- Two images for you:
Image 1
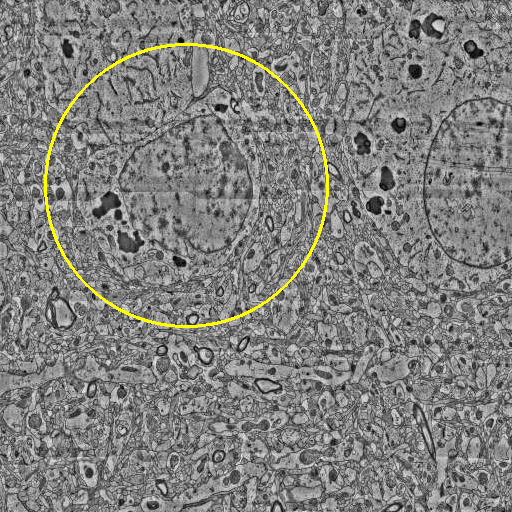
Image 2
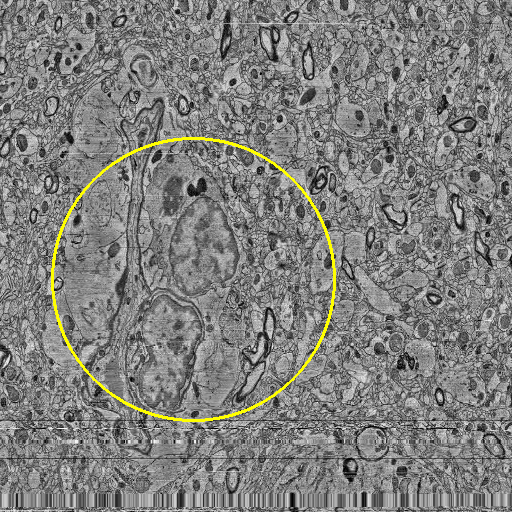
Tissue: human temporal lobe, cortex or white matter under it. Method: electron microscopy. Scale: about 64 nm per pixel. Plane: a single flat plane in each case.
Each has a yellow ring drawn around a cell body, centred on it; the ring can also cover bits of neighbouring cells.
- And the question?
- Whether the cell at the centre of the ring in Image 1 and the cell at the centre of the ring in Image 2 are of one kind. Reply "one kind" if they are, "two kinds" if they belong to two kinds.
two kinds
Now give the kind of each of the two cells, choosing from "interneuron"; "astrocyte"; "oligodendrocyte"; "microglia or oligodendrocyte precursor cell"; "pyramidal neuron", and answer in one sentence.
The cell in the first picture is an interneuron, and the cell in the second is an oligodendrocyte.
